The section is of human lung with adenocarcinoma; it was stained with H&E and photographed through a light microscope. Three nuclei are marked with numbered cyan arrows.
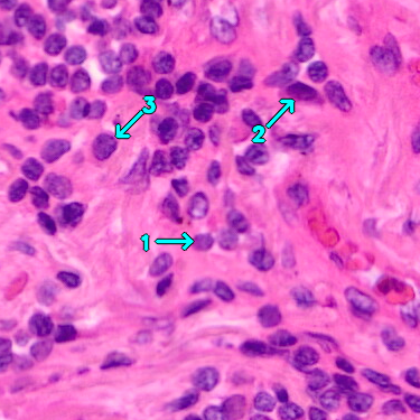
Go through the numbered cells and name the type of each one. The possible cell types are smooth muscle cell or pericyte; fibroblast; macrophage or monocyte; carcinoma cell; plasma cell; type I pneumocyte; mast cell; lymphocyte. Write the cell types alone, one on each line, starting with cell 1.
lymphocyte
plasma cell
lymphocyte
